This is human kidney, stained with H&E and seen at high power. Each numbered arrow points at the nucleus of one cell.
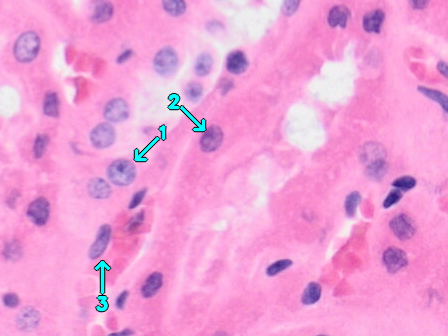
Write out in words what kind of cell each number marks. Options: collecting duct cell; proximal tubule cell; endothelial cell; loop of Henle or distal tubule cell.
Cell 1 is a loop of Henle or distal tubule cell. Cell 2 is a proximal tubule cell. Cell 3 is an endothelial cell.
